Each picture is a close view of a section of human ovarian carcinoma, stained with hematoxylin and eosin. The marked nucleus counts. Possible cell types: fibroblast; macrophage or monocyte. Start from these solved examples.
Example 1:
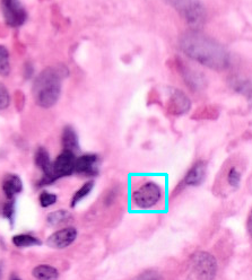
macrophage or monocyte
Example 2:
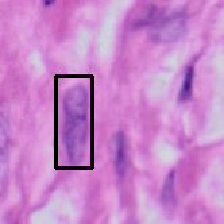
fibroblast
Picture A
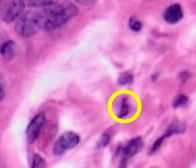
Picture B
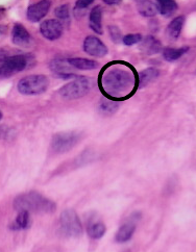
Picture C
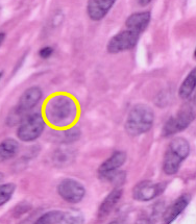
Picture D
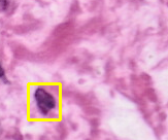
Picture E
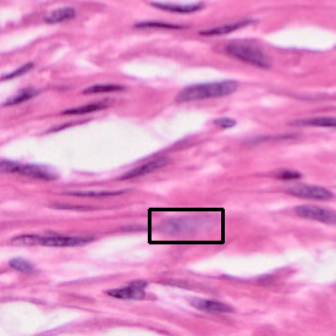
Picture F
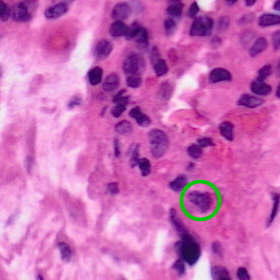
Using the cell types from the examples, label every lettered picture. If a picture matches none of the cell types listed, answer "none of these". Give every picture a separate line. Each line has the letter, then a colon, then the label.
A: fibroblast
B: none of these
C: none of these
D: macrophage or monocyte
E: fibroblast
F: macrophage or monocyte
